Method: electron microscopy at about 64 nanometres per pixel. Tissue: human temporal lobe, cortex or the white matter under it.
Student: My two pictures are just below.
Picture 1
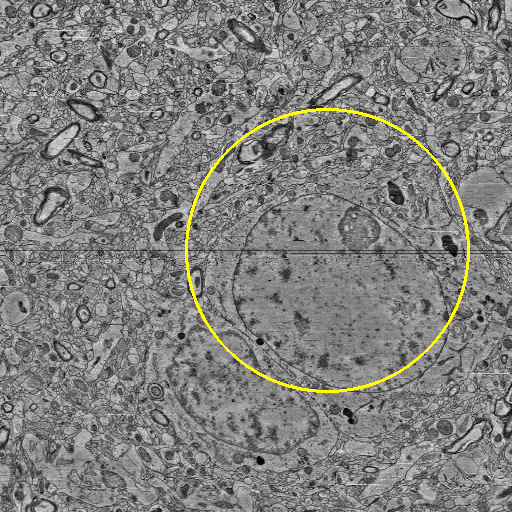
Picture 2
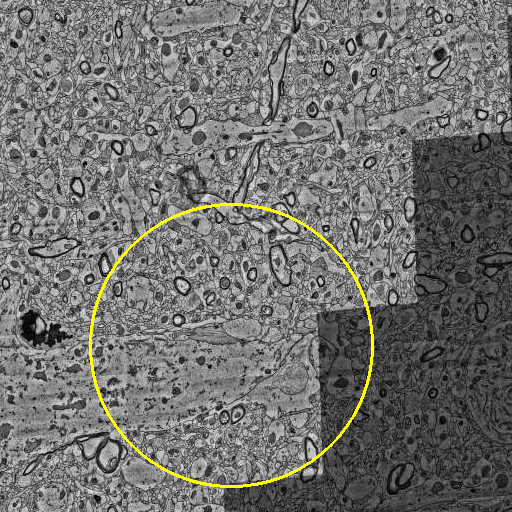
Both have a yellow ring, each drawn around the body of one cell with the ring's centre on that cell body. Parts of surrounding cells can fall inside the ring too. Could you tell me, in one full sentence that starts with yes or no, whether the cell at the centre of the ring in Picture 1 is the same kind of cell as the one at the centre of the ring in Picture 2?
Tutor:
No, the two cells are of two kinds.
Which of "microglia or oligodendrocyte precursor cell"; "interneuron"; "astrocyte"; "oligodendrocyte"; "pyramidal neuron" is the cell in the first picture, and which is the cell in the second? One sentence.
The two differ: the first cell is a pyramidal neuron and the second is an oligodendrocyte.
